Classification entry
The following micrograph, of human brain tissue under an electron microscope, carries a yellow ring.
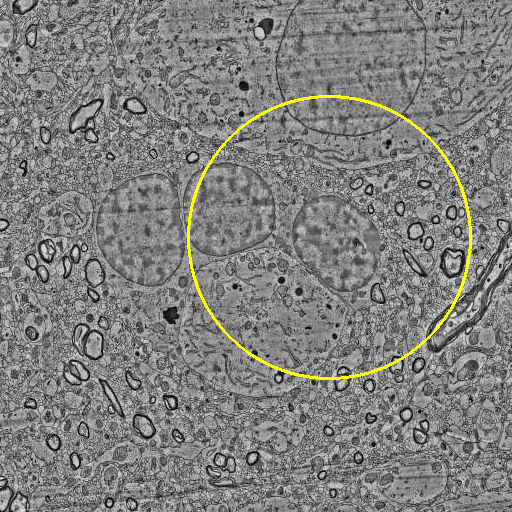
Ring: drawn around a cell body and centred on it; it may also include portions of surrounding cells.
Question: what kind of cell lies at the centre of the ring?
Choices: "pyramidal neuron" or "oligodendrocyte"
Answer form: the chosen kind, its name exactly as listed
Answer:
oligodendrocyte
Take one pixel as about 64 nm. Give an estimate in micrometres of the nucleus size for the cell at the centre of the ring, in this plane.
In this plane, approximately 6 by 5 micrometers.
